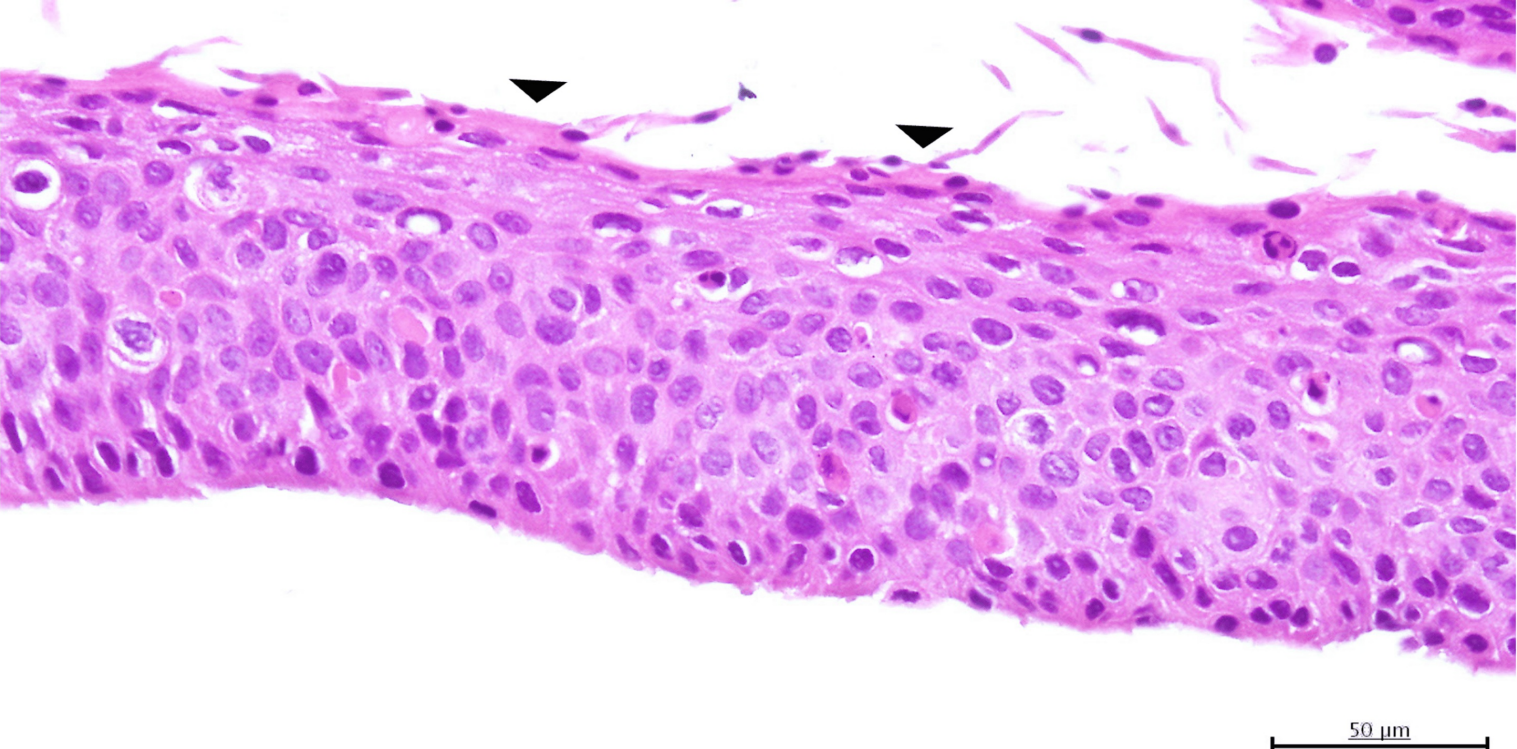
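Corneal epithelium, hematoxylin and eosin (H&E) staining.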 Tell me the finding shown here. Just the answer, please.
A: cellular pleomorphism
